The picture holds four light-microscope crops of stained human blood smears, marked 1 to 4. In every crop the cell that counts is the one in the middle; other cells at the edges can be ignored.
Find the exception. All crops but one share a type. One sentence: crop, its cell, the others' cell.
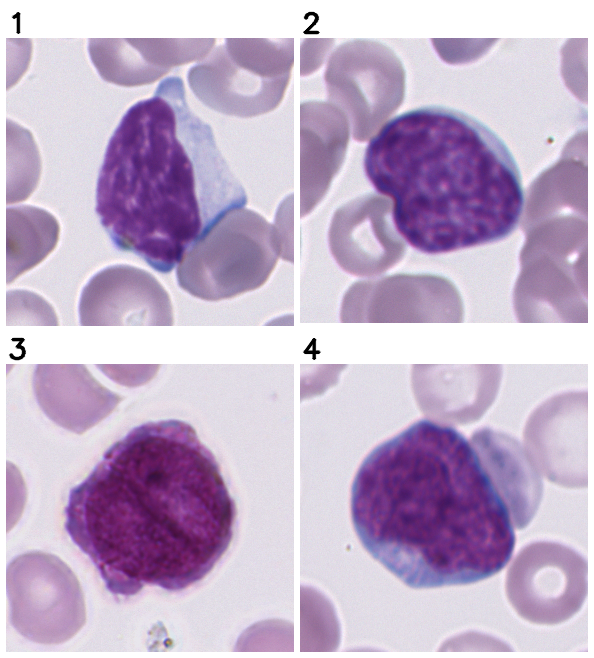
All crops show myeloblasts except crop 3, which is an atypical promyelocyte.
